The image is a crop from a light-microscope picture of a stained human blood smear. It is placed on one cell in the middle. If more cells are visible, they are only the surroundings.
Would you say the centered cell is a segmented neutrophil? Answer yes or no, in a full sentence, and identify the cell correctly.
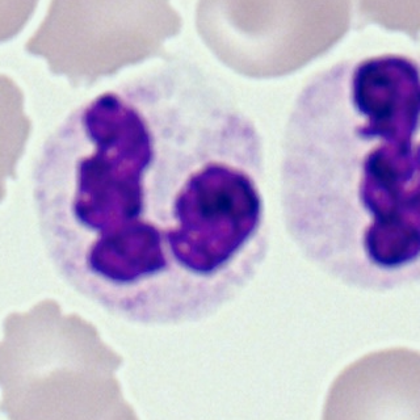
Yes, at the centre of the crop lies a segmented neutrophil.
